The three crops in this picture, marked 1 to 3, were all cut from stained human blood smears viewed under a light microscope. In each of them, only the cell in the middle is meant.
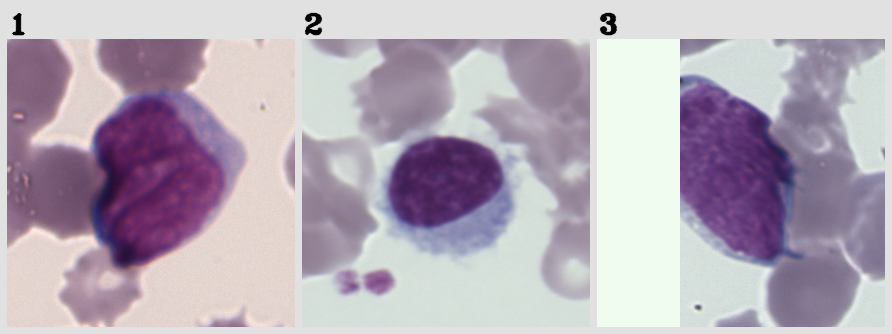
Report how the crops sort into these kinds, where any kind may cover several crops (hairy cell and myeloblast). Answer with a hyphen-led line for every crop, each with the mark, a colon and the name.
- 1: myeloblast
- 2: hairy cell
- 3: myeloblast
